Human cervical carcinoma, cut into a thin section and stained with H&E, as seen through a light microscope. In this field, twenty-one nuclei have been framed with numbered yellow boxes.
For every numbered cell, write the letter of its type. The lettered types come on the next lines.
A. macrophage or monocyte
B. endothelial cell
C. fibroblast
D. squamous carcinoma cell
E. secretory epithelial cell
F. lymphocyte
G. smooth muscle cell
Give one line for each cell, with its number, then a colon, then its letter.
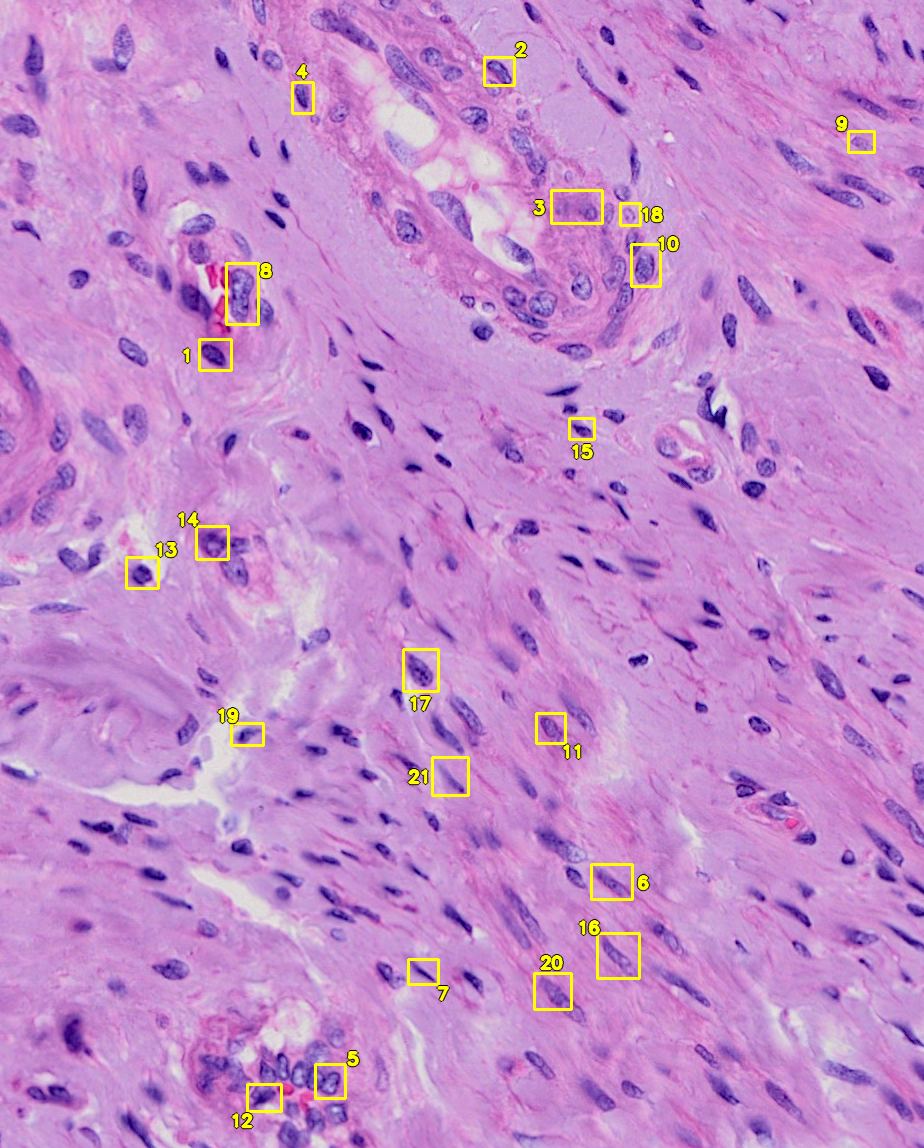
1: B
2: G
3: G
4: G
5: B
6: G
7: C
8: B
9: G
10: G
11: G
12: B
13: F
14: B
15: C
16: G
17: A
18: G
19: C
20: G
21: C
